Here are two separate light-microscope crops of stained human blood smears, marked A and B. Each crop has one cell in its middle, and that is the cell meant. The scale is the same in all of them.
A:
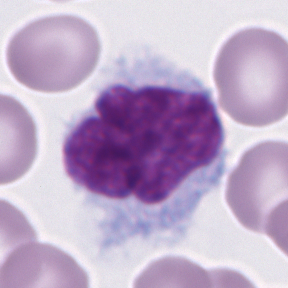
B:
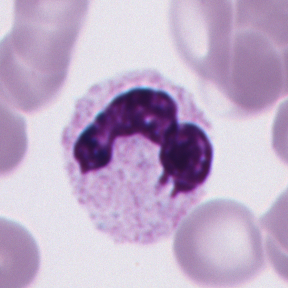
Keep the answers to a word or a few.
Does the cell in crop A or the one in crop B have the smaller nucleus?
B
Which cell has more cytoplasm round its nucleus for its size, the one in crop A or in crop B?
B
